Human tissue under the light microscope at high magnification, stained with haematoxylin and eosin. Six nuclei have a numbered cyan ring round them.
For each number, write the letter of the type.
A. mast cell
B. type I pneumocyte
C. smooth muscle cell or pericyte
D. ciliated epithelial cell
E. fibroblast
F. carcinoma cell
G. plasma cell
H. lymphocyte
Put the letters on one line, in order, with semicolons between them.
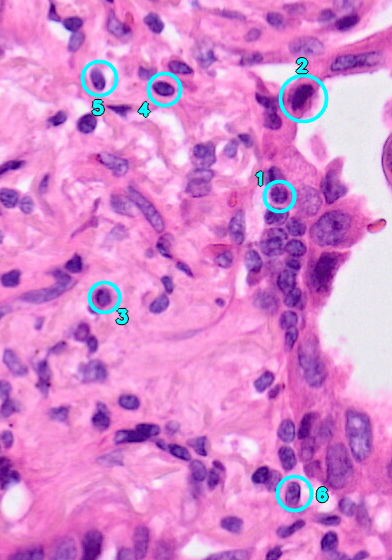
H; F; G; H; H; H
